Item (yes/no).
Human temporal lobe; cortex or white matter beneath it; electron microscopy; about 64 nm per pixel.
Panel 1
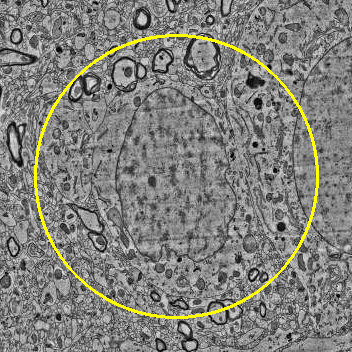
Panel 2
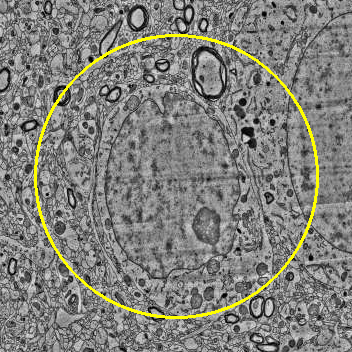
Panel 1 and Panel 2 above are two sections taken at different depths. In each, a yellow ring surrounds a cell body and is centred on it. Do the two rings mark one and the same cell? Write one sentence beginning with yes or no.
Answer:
Yes, the same individual cell is enclosed by both rings.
